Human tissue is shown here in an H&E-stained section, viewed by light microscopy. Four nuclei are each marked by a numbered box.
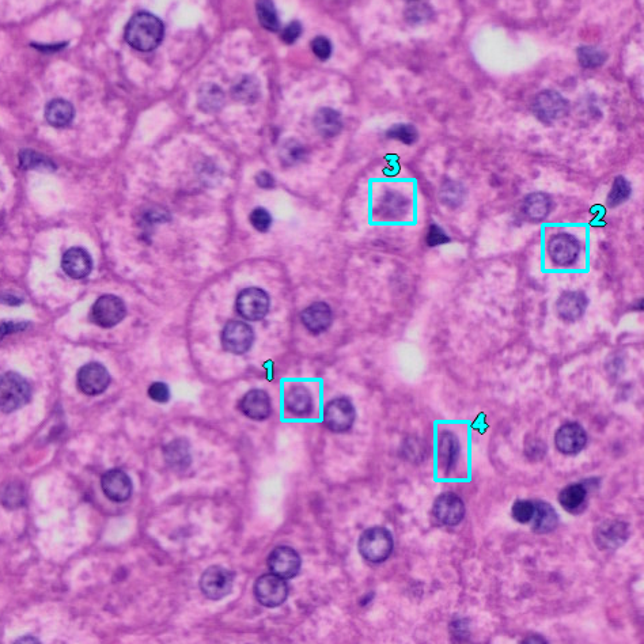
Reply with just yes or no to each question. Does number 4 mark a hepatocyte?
no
